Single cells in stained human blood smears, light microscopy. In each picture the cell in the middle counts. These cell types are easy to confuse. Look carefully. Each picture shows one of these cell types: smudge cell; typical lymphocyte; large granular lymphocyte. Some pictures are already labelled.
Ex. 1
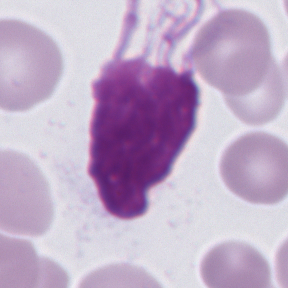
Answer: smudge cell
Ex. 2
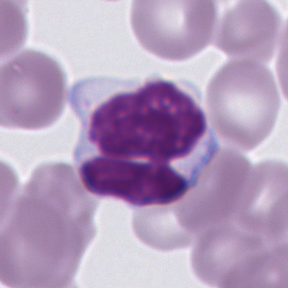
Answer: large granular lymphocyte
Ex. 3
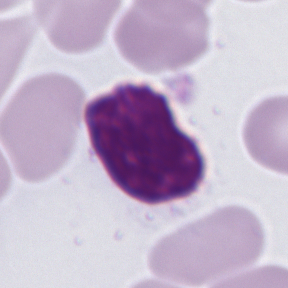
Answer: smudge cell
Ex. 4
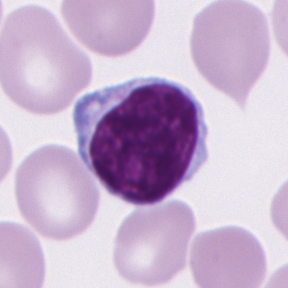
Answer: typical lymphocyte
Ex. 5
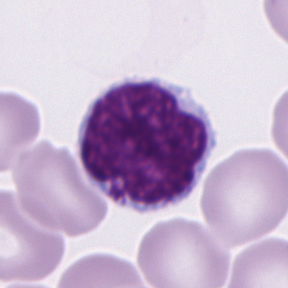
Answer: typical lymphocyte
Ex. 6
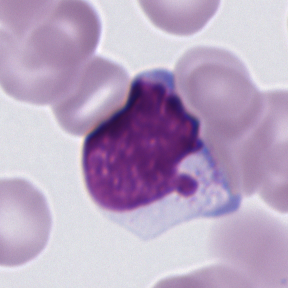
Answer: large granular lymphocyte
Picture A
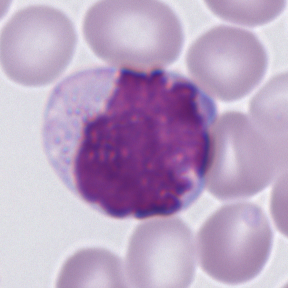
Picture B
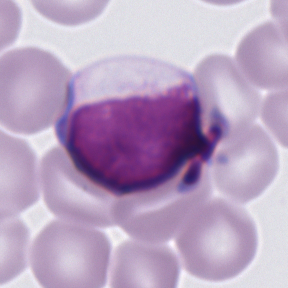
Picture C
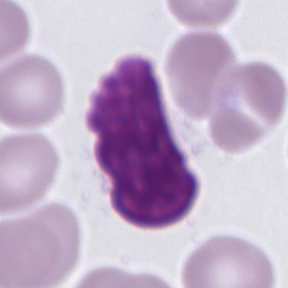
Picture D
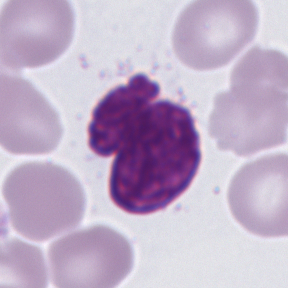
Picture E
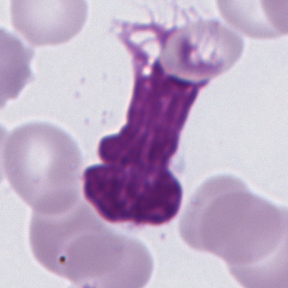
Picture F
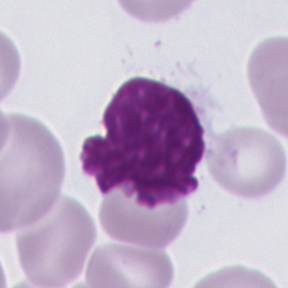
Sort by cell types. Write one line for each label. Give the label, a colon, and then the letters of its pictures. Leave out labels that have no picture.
smudge cell: C, D, E, F
large granular lymphocyte: A, B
